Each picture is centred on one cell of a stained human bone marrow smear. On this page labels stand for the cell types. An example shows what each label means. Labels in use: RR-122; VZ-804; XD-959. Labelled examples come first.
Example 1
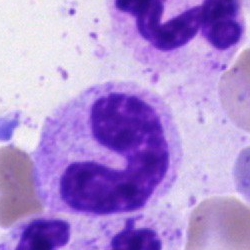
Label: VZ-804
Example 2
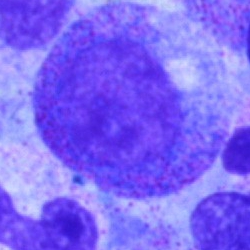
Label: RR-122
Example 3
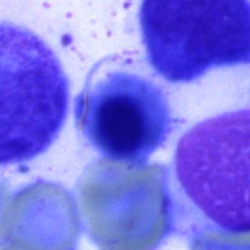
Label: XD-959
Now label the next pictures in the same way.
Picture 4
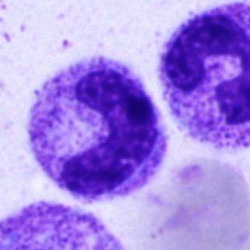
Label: VZ-804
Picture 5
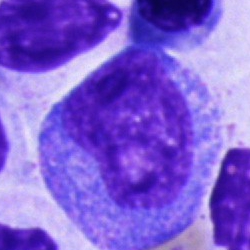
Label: RR-122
